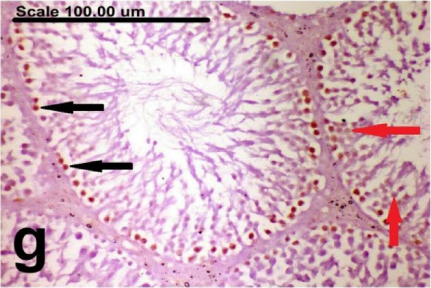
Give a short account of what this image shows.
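A seminiferous tubule in cross-section is lined by a stratified germinal epithelium around a central lumen filled with pale tails of spermatids. The small round nuclei of spermatogonial cells along the basal lamina and of spermatocytes just inside them are stained brown, while the cells nearer the lumen have blue-purple counterstained nuclei. Interstitial tissue with a few cells lies between neighbouring tubules.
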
